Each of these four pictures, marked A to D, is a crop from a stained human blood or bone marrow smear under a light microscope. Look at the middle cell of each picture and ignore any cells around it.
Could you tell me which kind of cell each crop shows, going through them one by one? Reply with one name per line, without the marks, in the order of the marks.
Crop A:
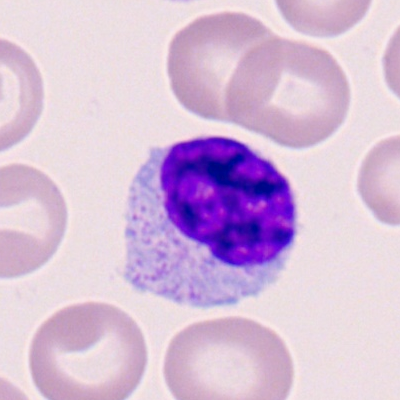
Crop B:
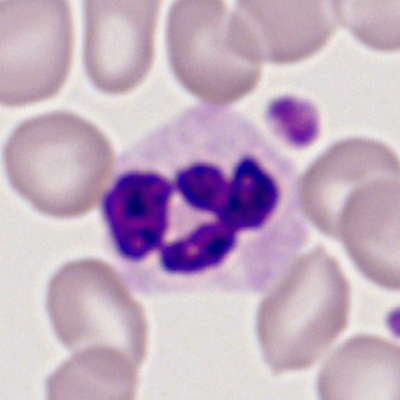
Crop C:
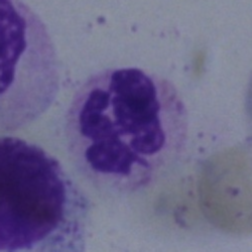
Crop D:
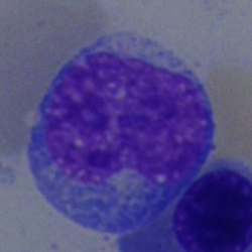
lymphocyte
segmented neutrophil
segmented neutrophil
blast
